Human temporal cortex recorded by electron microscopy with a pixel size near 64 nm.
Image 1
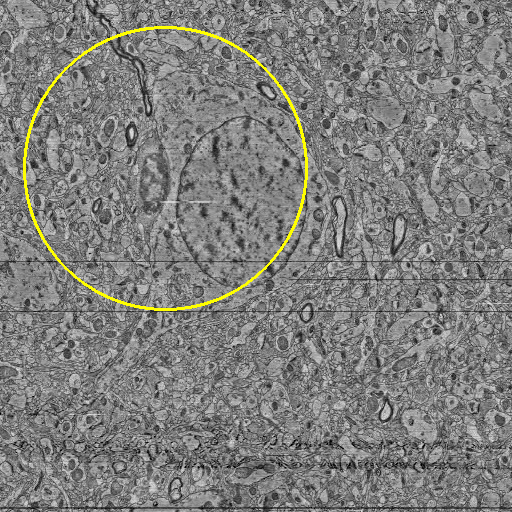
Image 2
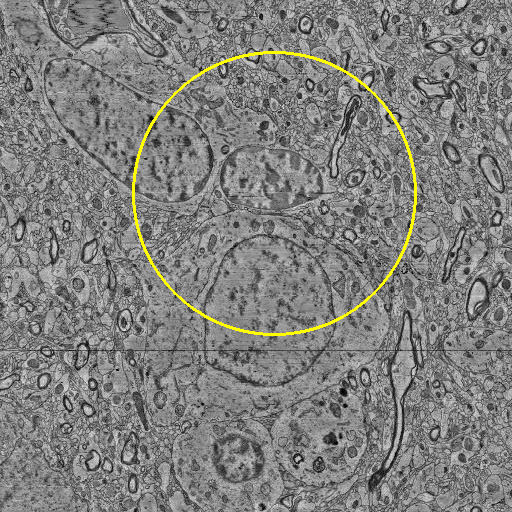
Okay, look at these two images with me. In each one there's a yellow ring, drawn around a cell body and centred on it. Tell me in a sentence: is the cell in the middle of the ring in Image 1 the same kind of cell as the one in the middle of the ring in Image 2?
No, they're two kinds of cell.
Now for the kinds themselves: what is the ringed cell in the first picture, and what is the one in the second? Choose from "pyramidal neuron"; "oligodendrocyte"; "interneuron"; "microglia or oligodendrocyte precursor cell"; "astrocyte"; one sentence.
Here the first cell is an oligodendrocyte and the second cell is a microglial cell or oligodendrocyte precursor cell.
